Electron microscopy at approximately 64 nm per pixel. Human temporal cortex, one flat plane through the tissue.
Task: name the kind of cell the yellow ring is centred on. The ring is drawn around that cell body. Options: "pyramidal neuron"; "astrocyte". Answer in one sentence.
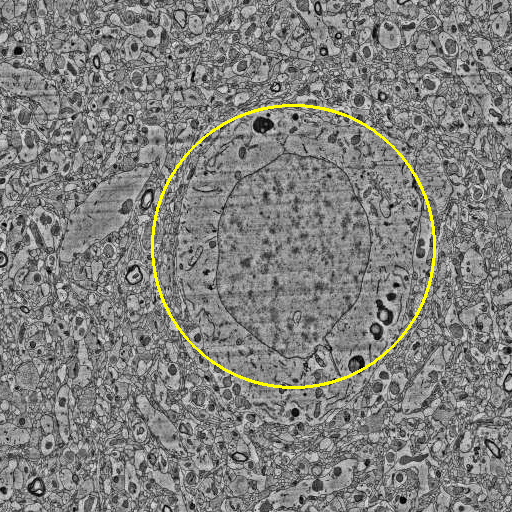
This cell body belongs to a pyramidal neuron.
